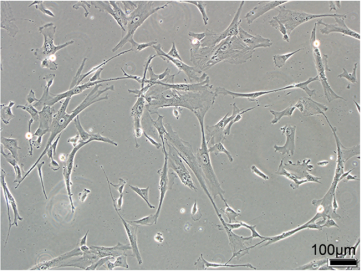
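Most cells are elongated and spindle-shaped or stellate, flattened on the substrate, with long thin cytoplasmic processes extending from both poles or several directions. Cells are scattered with open space between them and occasional contacts between processes. A few small round, bright refractile cells lie among the spread cells, likely rounded or detaching cells. No organized layers or clusters are seen.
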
